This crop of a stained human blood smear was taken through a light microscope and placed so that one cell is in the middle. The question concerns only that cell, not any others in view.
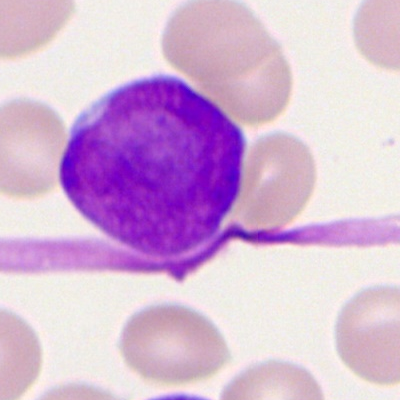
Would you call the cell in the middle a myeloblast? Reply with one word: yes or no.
yes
